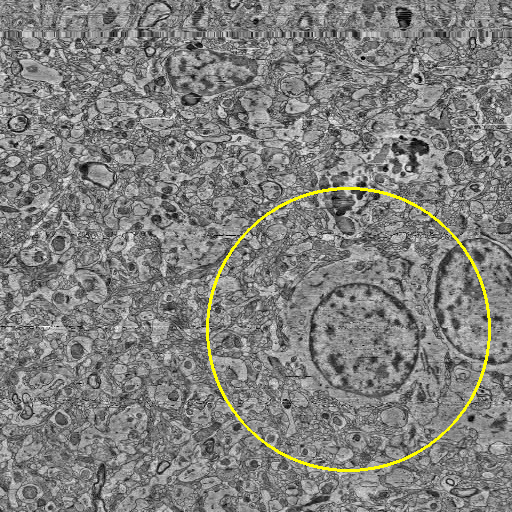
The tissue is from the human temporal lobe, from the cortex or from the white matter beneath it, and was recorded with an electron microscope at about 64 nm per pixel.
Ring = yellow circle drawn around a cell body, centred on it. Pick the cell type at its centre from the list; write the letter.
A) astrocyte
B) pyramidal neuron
A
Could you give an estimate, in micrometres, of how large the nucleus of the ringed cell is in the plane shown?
About 7 micrometres across, as seen in this plane.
